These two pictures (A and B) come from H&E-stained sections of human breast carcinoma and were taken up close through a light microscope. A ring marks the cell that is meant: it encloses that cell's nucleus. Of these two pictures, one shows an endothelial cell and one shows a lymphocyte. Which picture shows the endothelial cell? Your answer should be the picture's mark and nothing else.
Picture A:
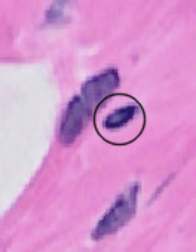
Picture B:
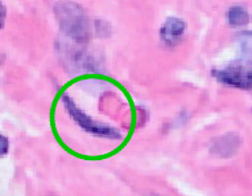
B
